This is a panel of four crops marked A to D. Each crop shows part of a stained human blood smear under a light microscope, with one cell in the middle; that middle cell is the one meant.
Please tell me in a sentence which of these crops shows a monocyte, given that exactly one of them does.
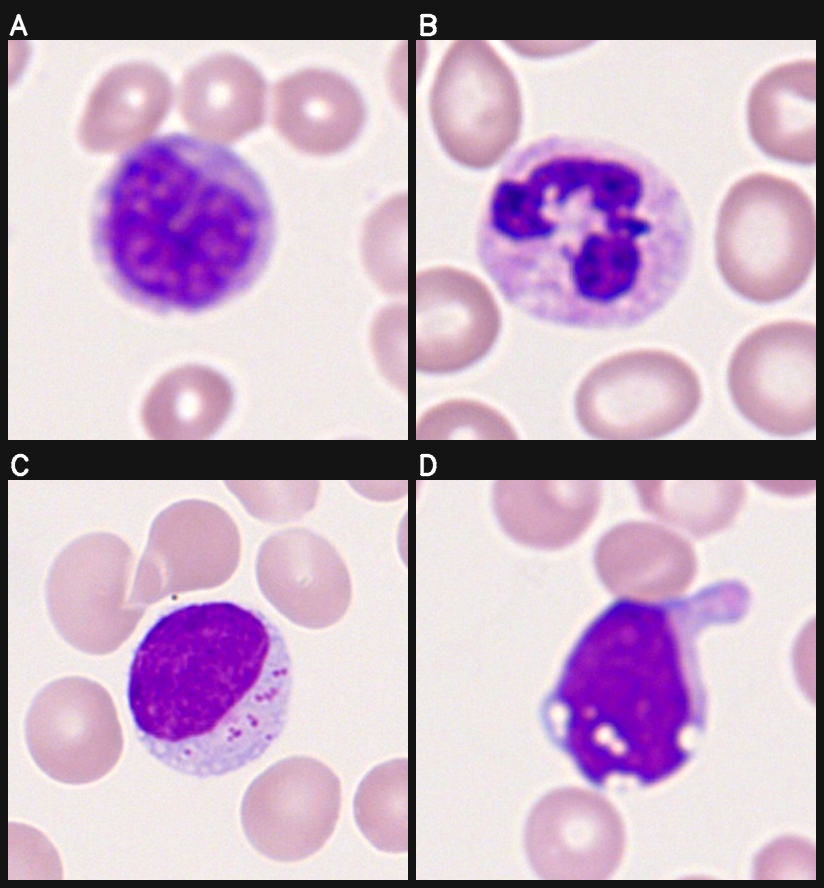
The crop marked A is the one that shows a monocyte.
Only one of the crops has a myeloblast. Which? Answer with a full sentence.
Crop D, and no other, is the one that shows a myeloblast.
